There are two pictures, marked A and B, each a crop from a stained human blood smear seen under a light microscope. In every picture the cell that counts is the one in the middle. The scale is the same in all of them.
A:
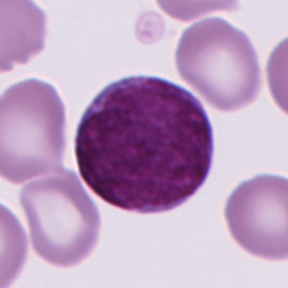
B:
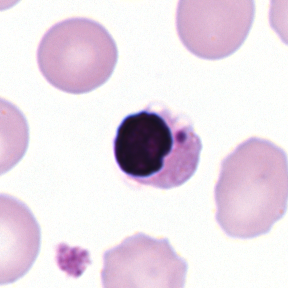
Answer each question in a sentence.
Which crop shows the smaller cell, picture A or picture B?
Smaller is the cell in picture B, and the other is about 3 times as large in area.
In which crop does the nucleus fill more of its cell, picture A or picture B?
In picture A the nucleus takes up the larger part of its cell.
